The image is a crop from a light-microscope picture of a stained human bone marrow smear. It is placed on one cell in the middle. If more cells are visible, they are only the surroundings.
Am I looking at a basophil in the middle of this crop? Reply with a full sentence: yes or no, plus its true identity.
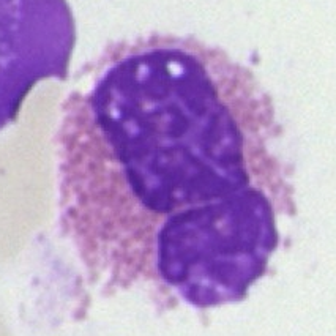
No, the central cell is designated an eosinophil and not a basophil.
